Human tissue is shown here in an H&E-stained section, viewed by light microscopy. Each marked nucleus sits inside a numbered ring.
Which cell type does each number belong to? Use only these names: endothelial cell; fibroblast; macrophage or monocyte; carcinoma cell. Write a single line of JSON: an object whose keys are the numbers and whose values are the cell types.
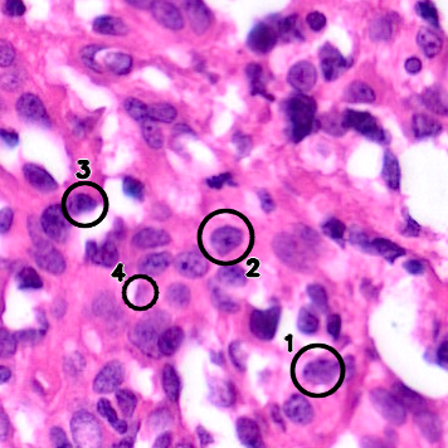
{"1": "carcinoma cell", "2": "macrophage or monocyte", "3": "carcinoma cell", "4": "carcinoma cell"}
